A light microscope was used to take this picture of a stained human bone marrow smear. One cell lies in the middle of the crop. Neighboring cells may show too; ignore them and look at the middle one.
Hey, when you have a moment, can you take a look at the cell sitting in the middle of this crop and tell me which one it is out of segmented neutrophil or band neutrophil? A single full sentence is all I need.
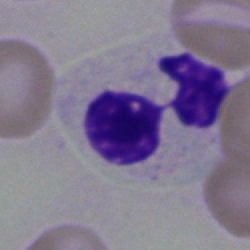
In the centre of this crop there is a segmented neutrophil.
